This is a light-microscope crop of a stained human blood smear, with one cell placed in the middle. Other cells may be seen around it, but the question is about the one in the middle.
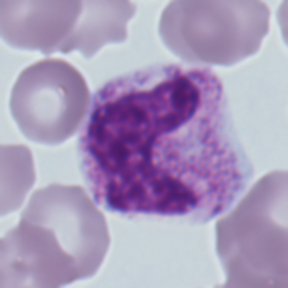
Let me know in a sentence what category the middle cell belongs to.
What sits at the centre of this crop is a metamyelocyte.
